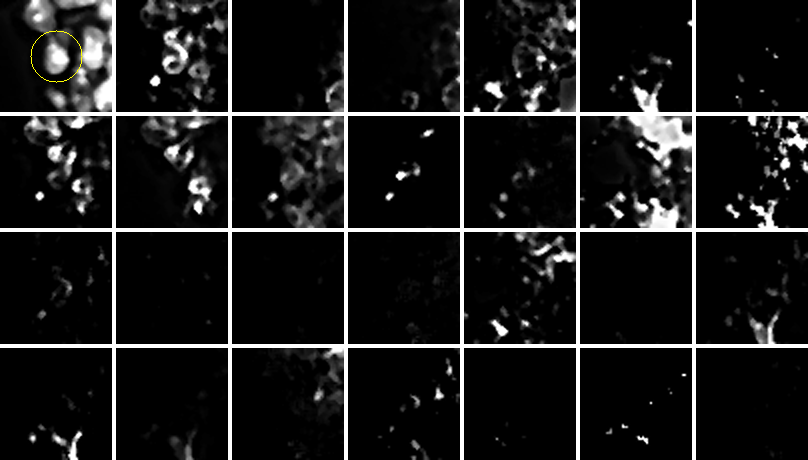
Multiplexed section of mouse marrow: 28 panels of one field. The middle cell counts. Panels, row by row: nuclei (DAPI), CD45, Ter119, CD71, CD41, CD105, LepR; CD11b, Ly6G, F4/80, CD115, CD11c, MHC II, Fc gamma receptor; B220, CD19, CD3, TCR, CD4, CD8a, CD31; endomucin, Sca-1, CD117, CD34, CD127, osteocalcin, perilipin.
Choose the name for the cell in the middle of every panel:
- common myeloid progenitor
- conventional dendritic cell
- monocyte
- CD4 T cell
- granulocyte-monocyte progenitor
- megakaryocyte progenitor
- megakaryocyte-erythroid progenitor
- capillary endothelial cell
monocyte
